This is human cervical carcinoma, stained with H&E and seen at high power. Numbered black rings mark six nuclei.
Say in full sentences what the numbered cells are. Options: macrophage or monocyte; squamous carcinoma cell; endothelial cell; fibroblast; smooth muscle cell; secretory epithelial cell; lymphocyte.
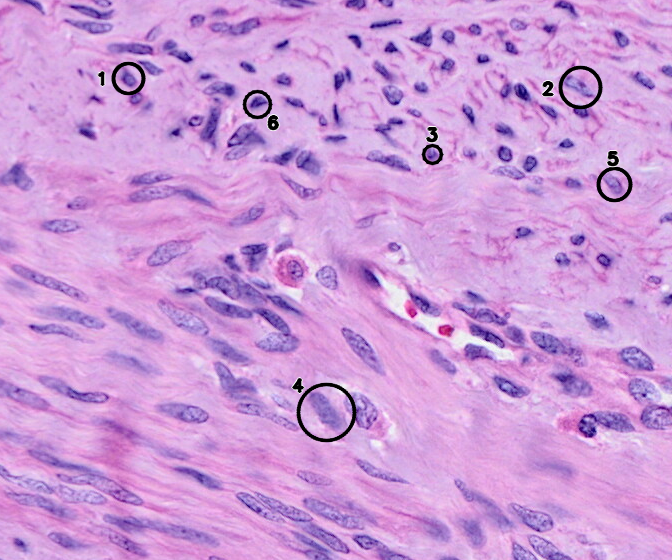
Cell 1 is a smooth muscle cell, cell 2 is a smooth muscle cell, cell 3 is a smooth muscle cell, cell 4 is a fibroblast, cell 5 is a smooth muscle cell and cell 6 is a fibroblast.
